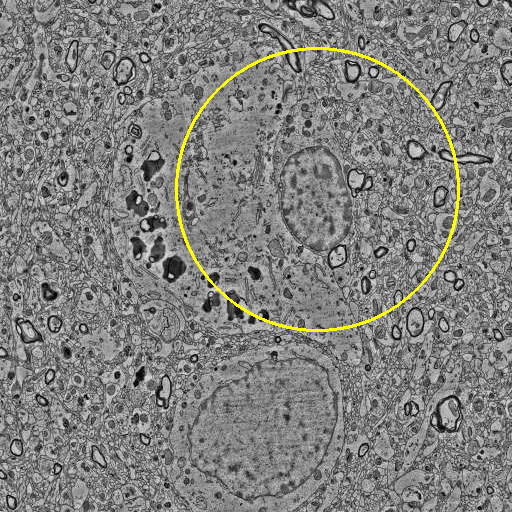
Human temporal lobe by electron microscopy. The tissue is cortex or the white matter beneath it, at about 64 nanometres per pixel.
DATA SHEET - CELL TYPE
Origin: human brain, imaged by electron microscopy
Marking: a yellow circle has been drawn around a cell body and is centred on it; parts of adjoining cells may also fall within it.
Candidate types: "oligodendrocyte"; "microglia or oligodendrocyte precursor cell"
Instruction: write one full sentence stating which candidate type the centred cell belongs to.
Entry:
The cell body at the centre of the yellow ring in this micrograph belongs to an oligodendrocyte.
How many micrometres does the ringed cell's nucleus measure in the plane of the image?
In this plane the nucleus is about 7 micrometres by 5.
